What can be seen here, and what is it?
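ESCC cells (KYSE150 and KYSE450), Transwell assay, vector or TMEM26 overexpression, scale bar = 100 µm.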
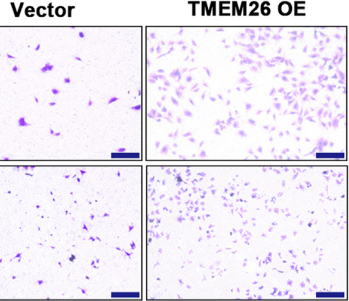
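The cells are single and scattered, some rounded and others spread, polygonal or spindle-shaped. In some fields they lie sparse and far apart, in others they are far more numerous and cover much of the field.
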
